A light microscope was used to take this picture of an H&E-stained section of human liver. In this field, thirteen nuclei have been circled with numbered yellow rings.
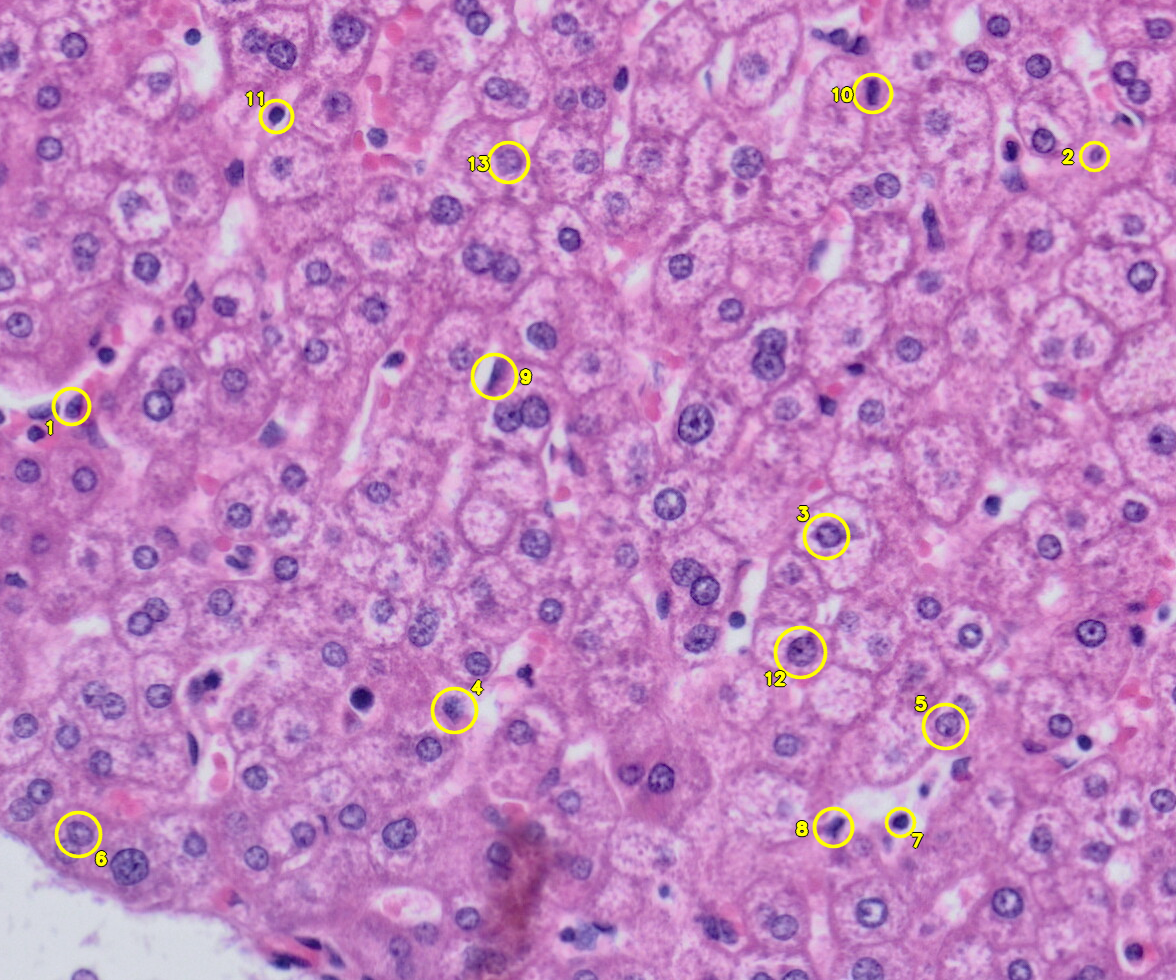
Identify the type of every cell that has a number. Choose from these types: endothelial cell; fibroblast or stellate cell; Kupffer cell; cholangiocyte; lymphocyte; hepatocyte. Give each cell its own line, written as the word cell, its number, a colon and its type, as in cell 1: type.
cell 1: lymphocyte
cell 2: lymphocyte
cell 3: hepatocyte
cell 4: endothelial cell
cell 5: hepatocyte
cell 6: hepatocyte
cell 7: lymphocyte
cell 8: endothelial cell
cell 9: Kupffer cell
cell 10: fibroblast or stellate cell
cell 11: lymphocyte
cell 12: hepatocyte
cell 13: hepatocyte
